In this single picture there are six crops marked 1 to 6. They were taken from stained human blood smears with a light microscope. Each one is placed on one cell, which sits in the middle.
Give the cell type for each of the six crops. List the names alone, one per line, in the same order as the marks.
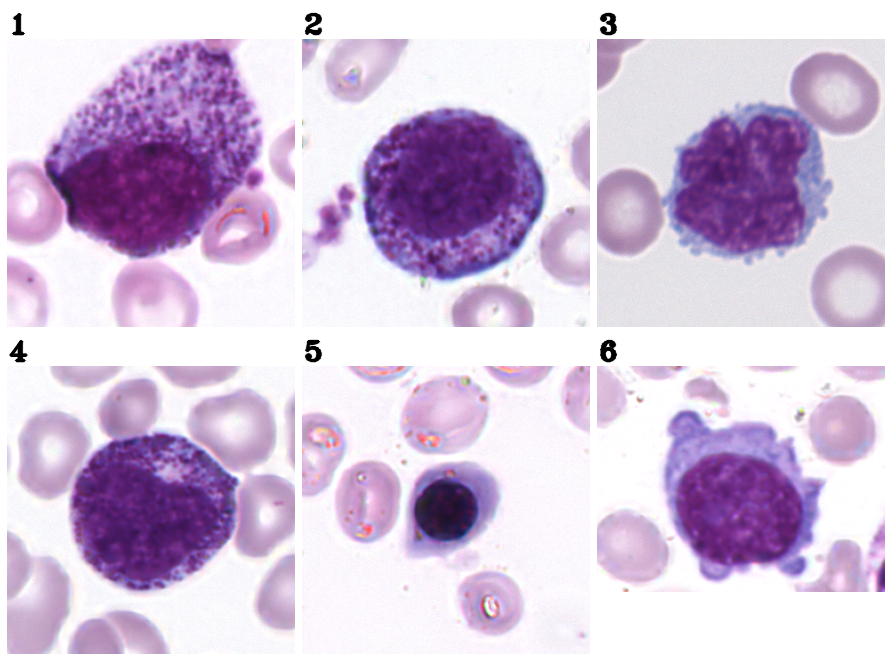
myelocyte
promyelocyte
monocyte
promyelocyte
normoblast
plasma cell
